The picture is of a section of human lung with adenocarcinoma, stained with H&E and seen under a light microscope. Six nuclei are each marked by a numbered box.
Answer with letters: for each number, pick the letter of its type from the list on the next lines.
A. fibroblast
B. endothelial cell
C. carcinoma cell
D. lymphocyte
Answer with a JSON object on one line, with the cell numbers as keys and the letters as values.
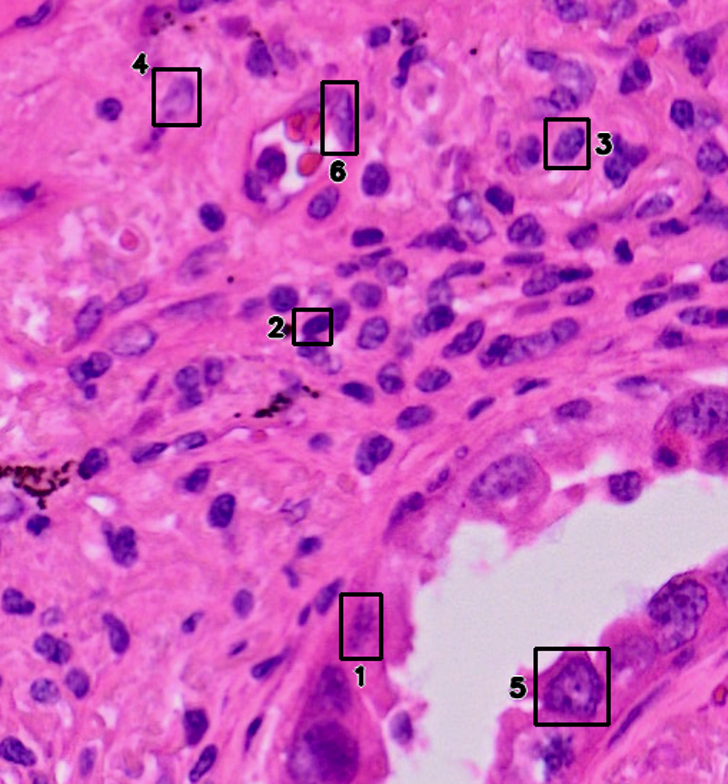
{"1": "C", "2": "D", "3": "D", "4": "A", "5": "C", "6": "B"}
